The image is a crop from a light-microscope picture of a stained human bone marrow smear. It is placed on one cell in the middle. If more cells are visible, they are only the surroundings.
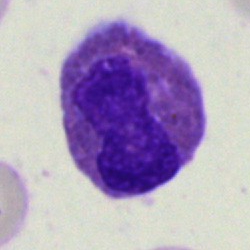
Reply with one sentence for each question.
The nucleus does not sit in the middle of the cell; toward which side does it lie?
The nucleus sits off-centre, toward the bottom.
